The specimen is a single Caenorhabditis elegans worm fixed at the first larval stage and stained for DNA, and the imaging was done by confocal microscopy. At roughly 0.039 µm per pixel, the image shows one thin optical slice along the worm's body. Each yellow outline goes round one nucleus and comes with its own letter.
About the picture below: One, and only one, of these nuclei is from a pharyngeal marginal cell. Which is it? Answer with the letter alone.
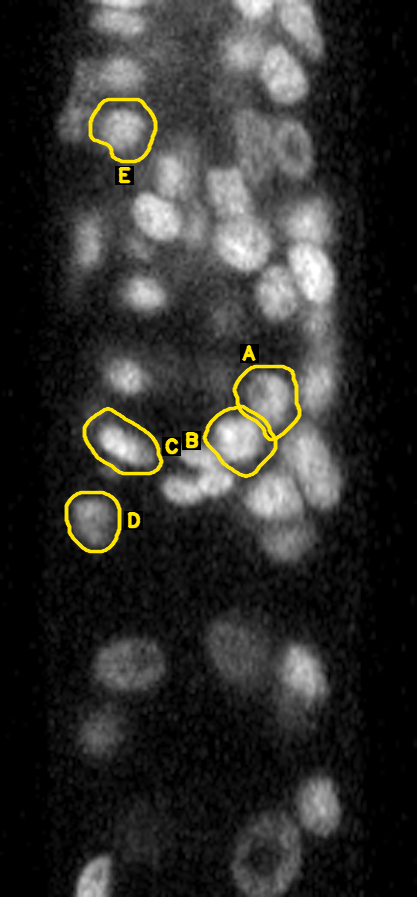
A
